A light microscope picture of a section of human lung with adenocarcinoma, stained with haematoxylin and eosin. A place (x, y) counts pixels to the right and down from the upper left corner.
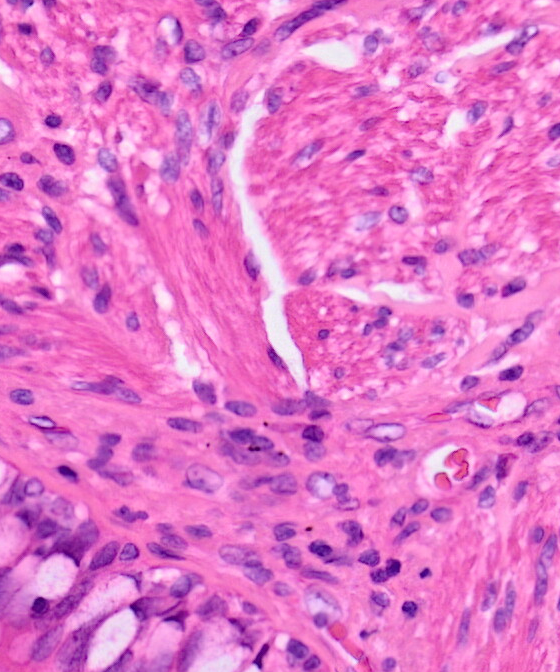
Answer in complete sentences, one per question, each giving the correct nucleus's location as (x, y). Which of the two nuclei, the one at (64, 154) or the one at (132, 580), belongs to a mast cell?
The nucleus that sits at (64, 154) is the nucleus of a mast cell.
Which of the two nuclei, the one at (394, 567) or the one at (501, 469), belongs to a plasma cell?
Among the two nuclei, the one lying at (501, 469) is part of a plasma cell.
